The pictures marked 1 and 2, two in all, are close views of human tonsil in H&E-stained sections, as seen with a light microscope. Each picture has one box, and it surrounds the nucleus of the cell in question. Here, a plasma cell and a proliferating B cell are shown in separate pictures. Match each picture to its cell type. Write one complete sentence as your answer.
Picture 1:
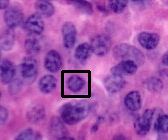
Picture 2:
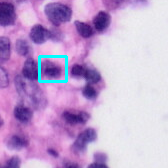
Picture 1 is of a plasma cell, and picture 2 is of a proliferating B cell.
